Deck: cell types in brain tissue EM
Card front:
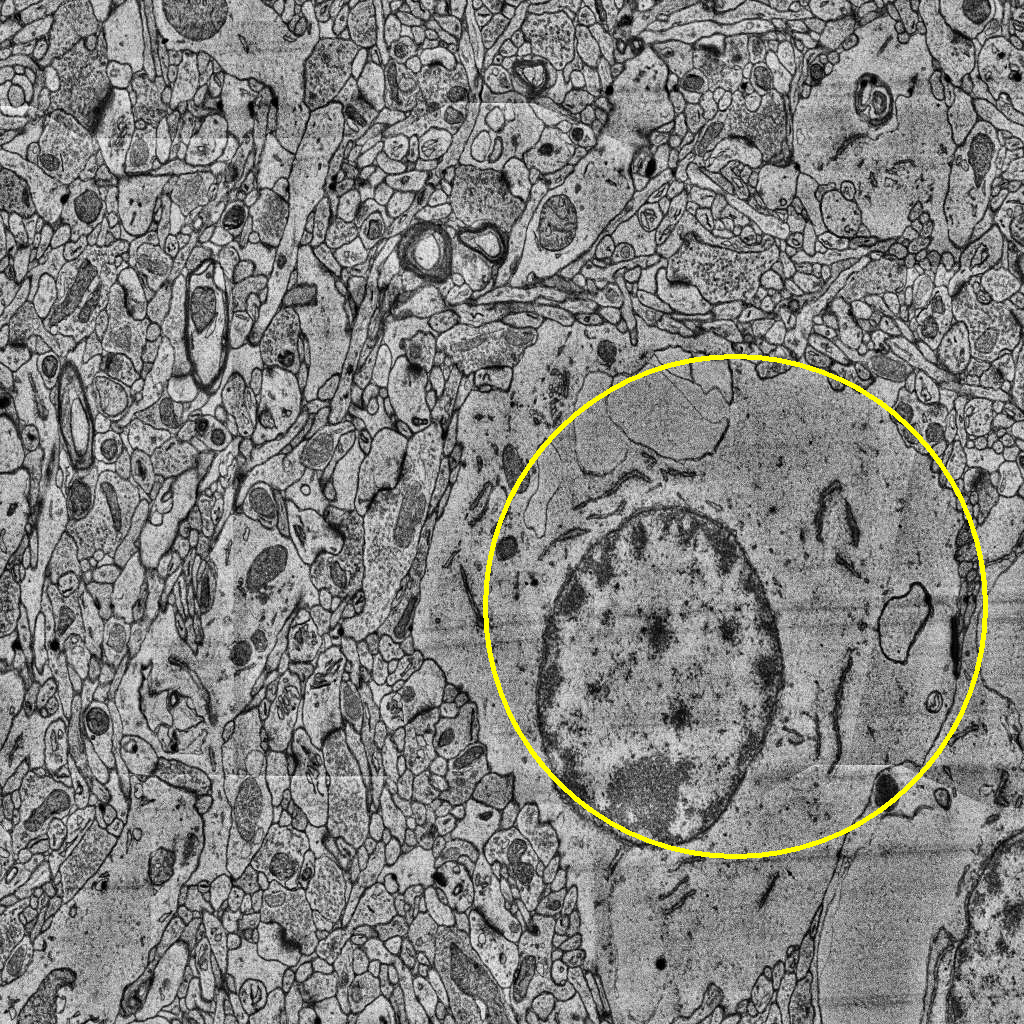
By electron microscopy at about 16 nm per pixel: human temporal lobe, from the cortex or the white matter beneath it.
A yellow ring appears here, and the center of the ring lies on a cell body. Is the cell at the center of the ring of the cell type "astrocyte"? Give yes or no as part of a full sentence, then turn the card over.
Yes, on this card the center of the yellow ring lies on a cell of that type.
